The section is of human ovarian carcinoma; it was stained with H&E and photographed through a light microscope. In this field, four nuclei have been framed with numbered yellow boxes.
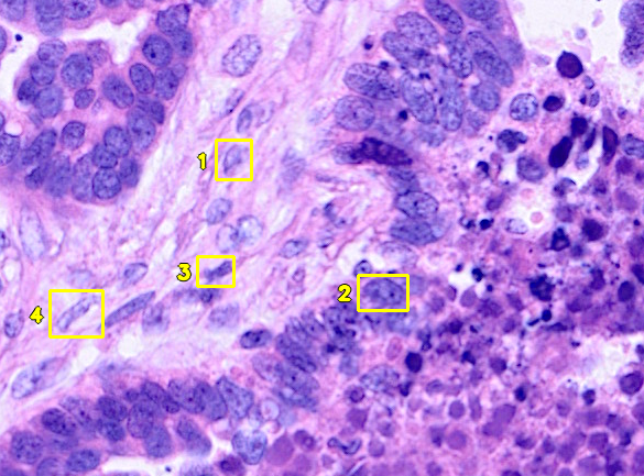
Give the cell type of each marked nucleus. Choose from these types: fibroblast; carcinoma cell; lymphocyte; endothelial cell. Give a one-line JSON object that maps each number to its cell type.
{"1": "fibroblast", "2": "carcinoma cell", "3": "fibroblast", "4": "fibroblast"}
